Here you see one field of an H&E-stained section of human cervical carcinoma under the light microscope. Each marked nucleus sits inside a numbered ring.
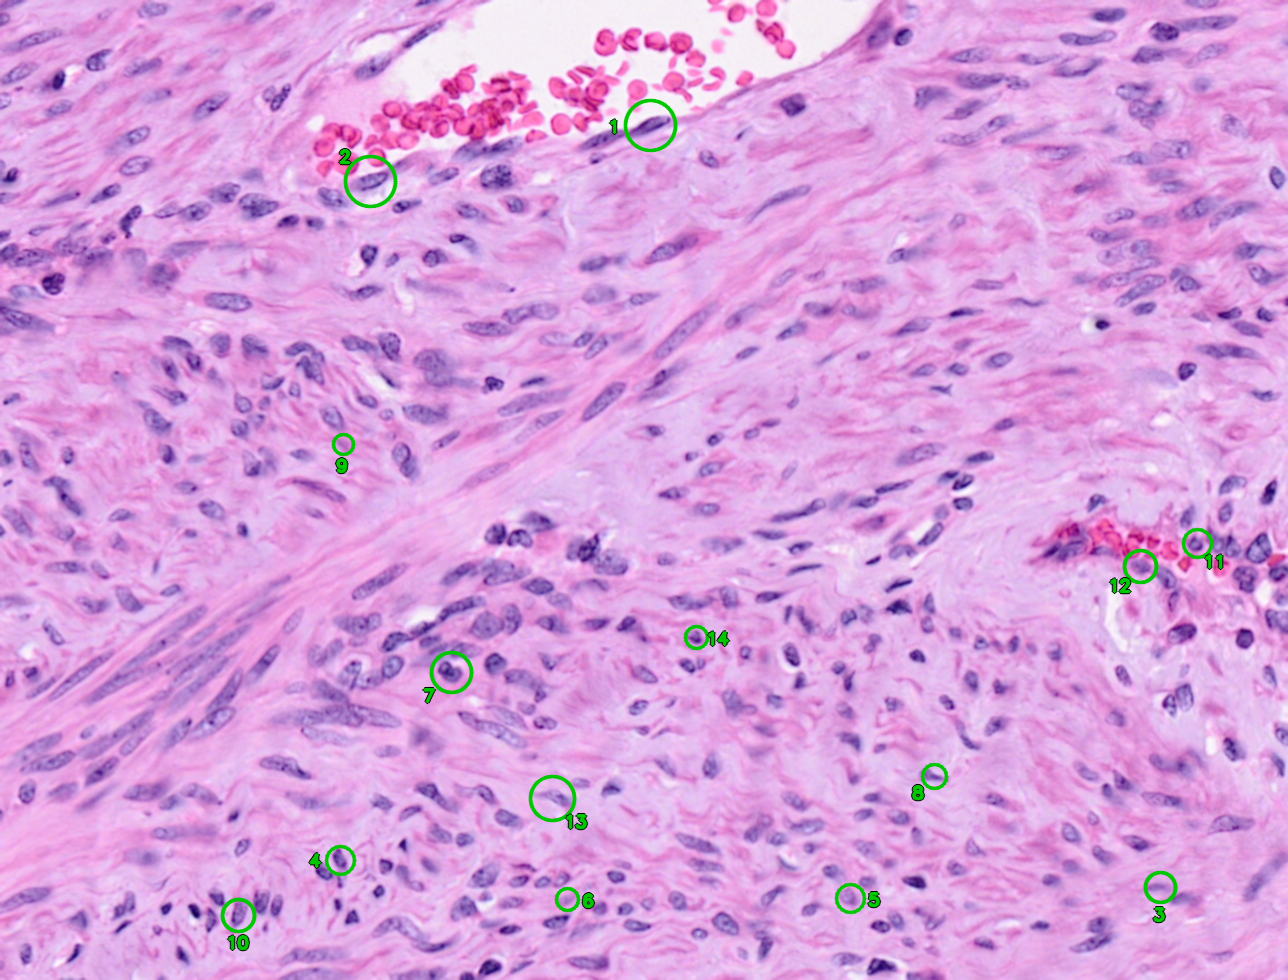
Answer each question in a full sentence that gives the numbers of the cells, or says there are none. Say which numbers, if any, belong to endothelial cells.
In short, the numbered cells 1, 2, 11 and 12 are endothelial cells.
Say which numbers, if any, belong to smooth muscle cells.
The cells marked 3, 4, 5, 6, 9, 10 and 14 in the section are smooth muscle cells.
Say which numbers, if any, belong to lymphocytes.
Only nucleus 7 belongs to a lymphocyte; the other numbered nuclei do not.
